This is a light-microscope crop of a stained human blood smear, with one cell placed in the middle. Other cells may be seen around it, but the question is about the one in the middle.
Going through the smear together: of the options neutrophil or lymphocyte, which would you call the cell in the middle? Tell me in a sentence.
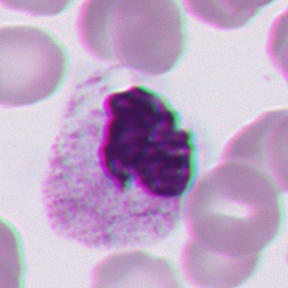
In the centre of this crop there is a neutrophil.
